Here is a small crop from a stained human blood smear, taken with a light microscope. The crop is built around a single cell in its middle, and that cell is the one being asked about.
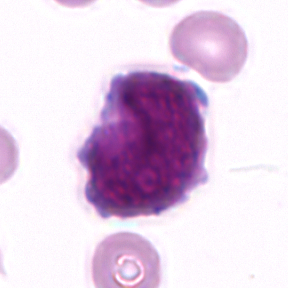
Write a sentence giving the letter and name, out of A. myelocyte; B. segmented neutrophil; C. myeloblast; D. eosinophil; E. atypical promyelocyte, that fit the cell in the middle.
The correct option, E, names the middle cell as an atypical promyelocyte.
